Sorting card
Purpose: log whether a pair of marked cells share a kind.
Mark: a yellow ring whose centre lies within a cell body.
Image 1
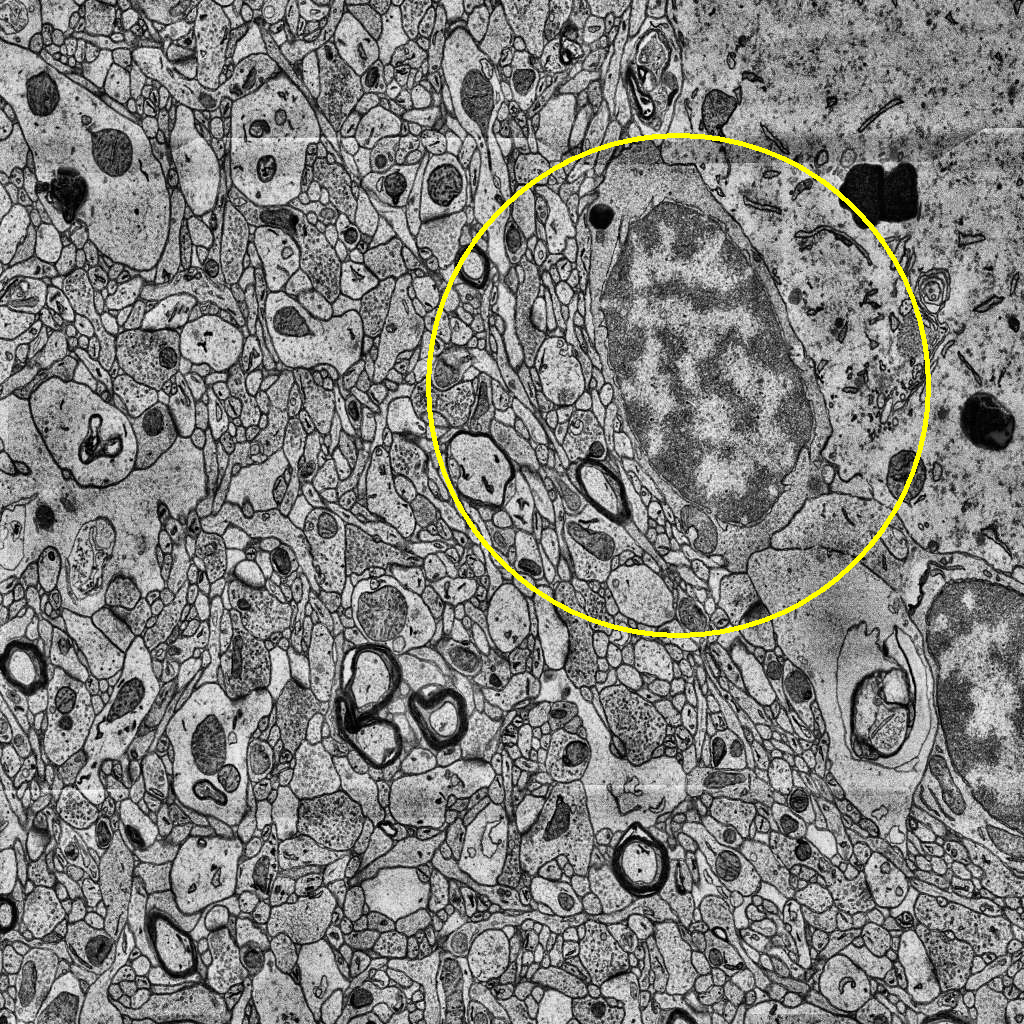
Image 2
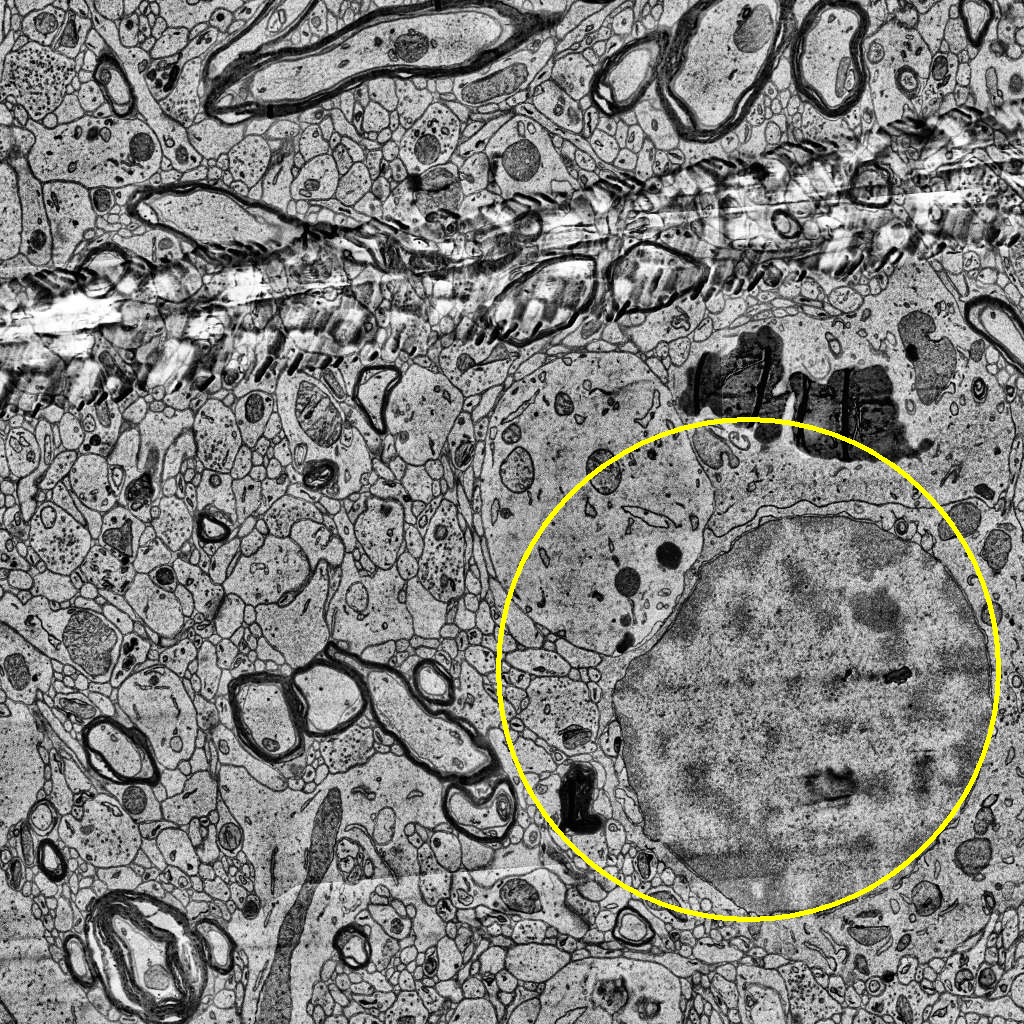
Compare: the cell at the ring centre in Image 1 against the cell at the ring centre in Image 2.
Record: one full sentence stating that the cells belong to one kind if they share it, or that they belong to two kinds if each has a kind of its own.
Across Images 1 and 2, the two cells at the ring centres belong to one kind.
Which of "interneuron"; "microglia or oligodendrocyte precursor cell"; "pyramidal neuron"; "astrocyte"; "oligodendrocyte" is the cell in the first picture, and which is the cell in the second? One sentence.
The first and the second cell are each an oligodendrocyte.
